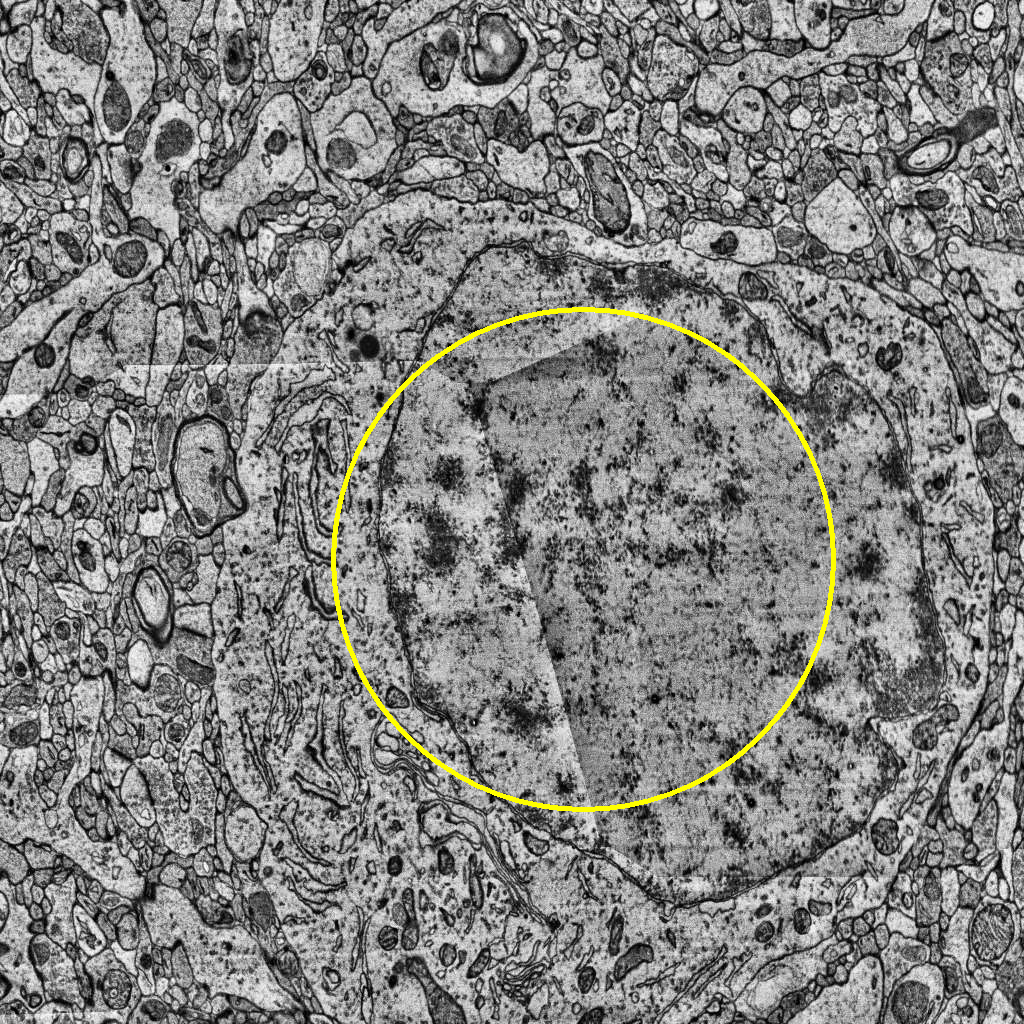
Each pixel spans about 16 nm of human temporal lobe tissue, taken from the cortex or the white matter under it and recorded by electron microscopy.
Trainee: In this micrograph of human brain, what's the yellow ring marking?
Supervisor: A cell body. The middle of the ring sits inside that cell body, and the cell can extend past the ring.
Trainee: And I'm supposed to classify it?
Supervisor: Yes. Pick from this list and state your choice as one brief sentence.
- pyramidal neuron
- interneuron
The cell at the ring's center is an interneuron.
